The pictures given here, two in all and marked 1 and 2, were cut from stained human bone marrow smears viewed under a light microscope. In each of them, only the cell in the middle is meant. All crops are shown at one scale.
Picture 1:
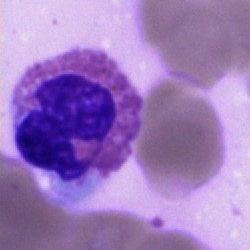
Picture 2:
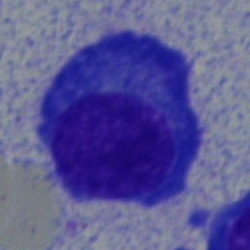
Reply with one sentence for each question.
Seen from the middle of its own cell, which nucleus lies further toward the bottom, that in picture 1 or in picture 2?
The nucleus in picture 2 lies further toward the bottom of its cell.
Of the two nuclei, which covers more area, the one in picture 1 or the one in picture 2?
The nucleus in picture 2 is larger, with about 1.5 times the area of the one in picture 1.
